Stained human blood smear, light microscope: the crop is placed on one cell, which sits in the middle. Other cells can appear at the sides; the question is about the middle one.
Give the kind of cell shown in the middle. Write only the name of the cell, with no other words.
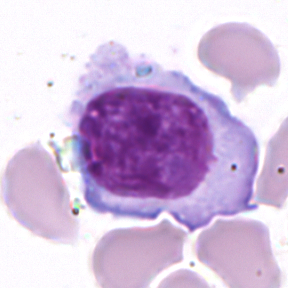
plasma cell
